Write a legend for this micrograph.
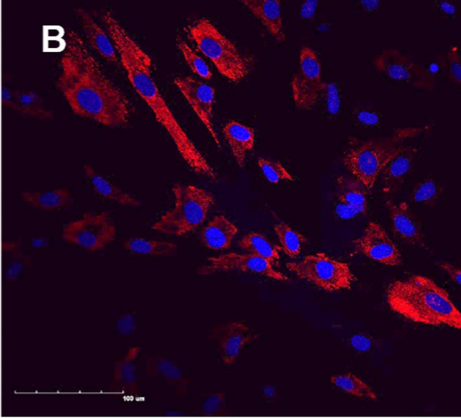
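A granular red stain fills the cytoplasm around the nuclei and runs out along the cell bodies, while the nuclei themselves stay blue. The staining is uneven from cell to cell: some cells are bright red throughout, whereas others show only a faint rim of red or just a blue nucleus. Where cells lie close together they form loose, overlapping groups, with dark empty background between them.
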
